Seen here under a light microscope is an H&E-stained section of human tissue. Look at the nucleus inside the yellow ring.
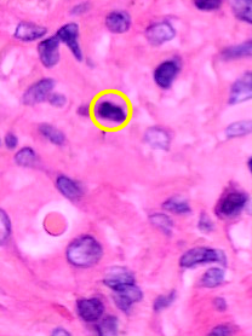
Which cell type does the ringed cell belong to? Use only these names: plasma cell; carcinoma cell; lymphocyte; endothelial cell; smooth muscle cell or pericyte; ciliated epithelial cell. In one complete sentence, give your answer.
So far as cell type goes, the ringed cell is a plasma cell.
